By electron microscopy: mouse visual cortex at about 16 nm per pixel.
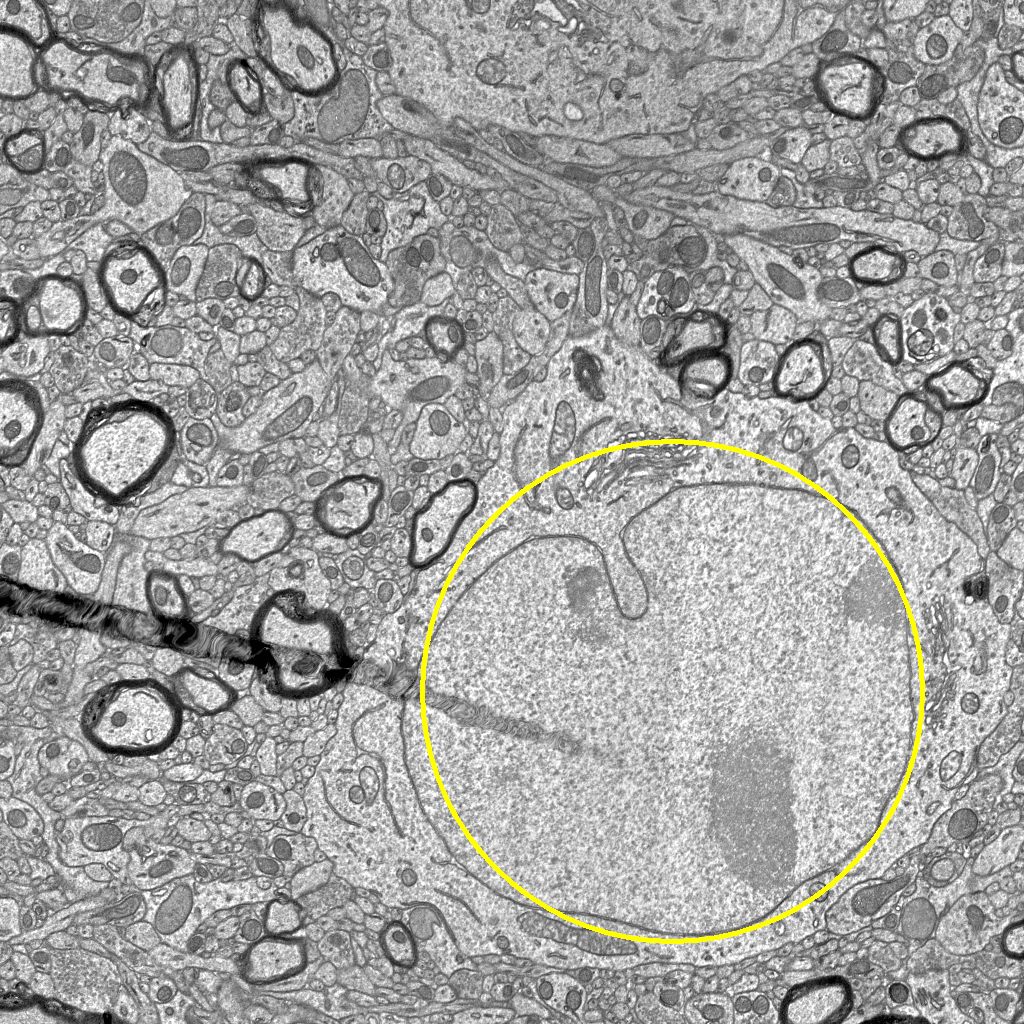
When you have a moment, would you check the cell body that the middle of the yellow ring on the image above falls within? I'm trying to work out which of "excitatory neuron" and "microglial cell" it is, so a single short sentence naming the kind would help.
This cell body belongs to an excitatory neuron.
